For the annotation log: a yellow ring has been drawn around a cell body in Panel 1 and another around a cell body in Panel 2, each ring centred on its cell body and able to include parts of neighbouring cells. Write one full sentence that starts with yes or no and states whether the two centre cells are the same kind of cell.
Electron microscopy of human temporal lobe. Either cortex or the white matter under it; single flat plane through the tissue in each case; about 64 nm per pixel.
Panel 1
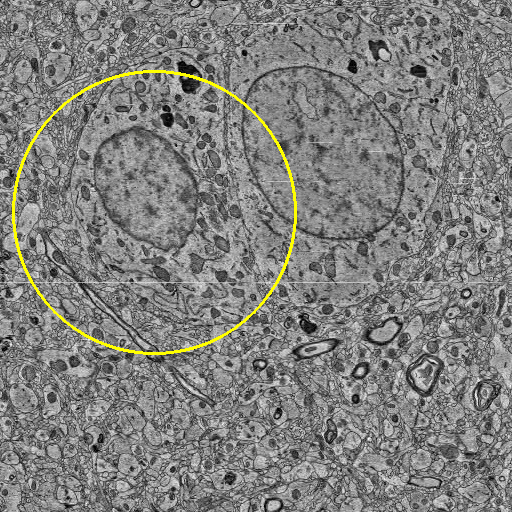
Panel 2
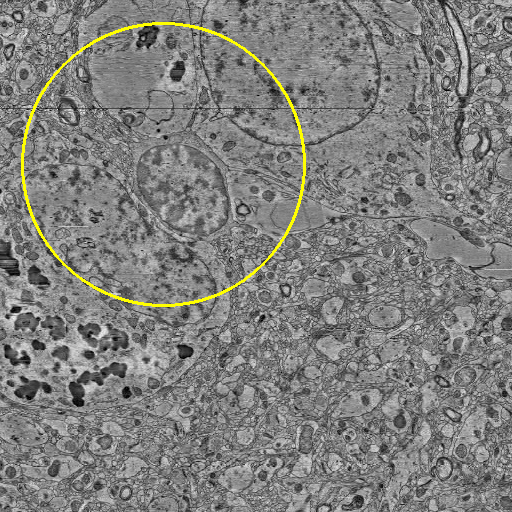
No, the two centre cells are two kinds of cell.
